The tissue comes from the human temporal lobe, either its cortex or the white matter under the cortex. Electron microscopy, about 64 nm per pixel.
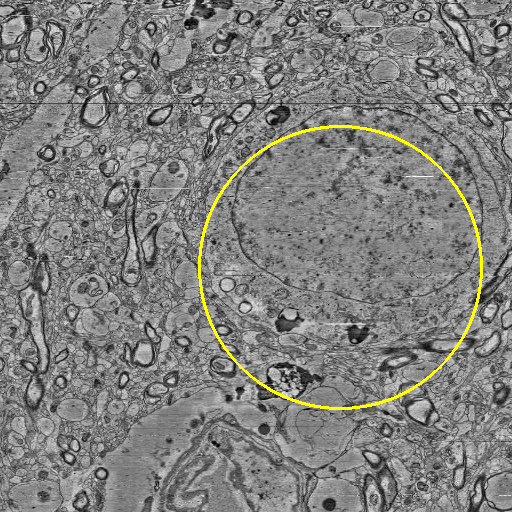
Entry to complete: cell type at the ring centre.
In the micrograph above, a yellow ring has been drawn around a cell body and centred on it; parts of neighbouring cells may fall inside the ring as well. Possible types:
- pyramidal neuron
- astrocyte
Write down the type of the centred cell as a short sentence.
The ring is centred on a pyramidal neuron.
